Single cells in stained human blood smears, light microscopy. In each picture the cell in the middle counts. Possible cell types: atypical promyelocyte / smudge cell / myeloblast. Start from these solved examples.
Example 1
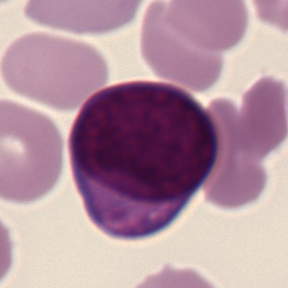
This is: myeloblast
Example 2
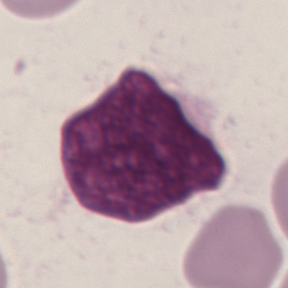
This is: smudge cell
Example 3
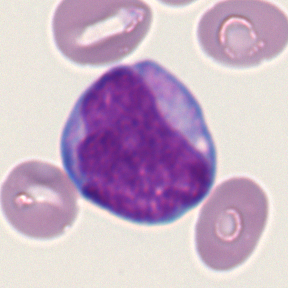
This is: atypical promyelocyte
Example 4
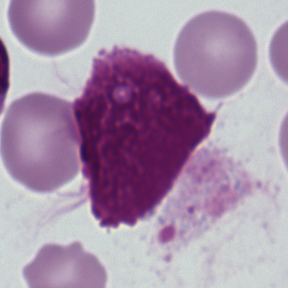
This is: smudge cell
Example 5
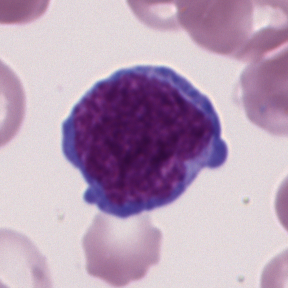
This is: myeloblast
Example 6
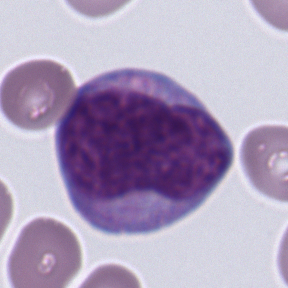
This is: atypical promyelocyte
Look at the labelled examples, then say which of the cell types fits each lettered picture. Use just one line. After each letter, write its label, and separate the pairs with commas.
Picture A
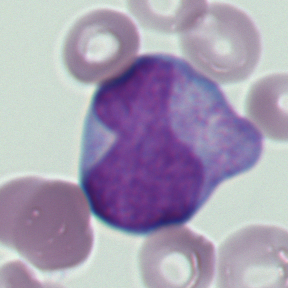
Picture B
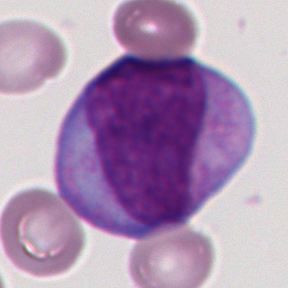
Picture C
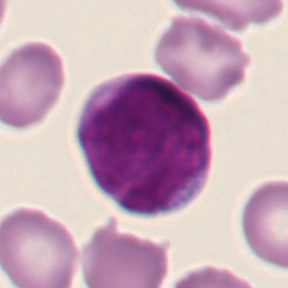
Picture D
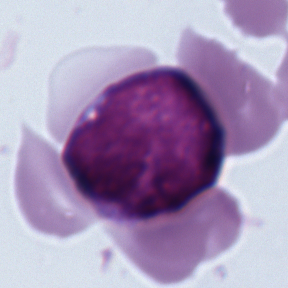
A atypical promyelocyte, B atypical promyelocyte, C myeloblast, D myeloblast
